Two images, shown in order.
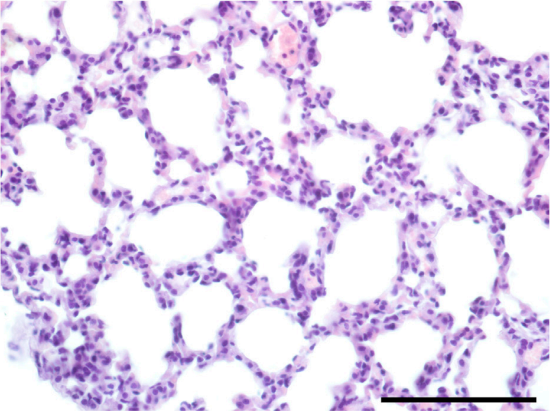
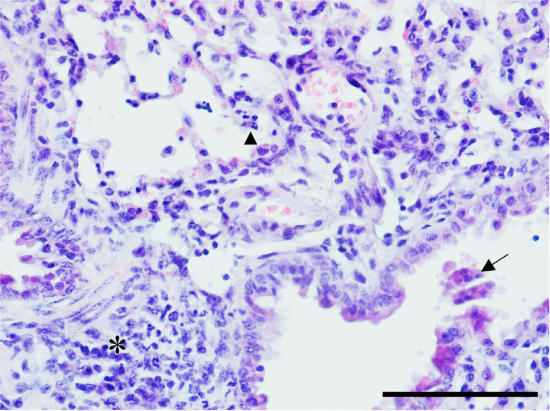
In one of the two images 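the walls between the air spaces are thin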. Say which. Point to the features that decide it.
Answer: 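First image: thin septa a few cells wide separate large open air spaces. On this evidence: the first image.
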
